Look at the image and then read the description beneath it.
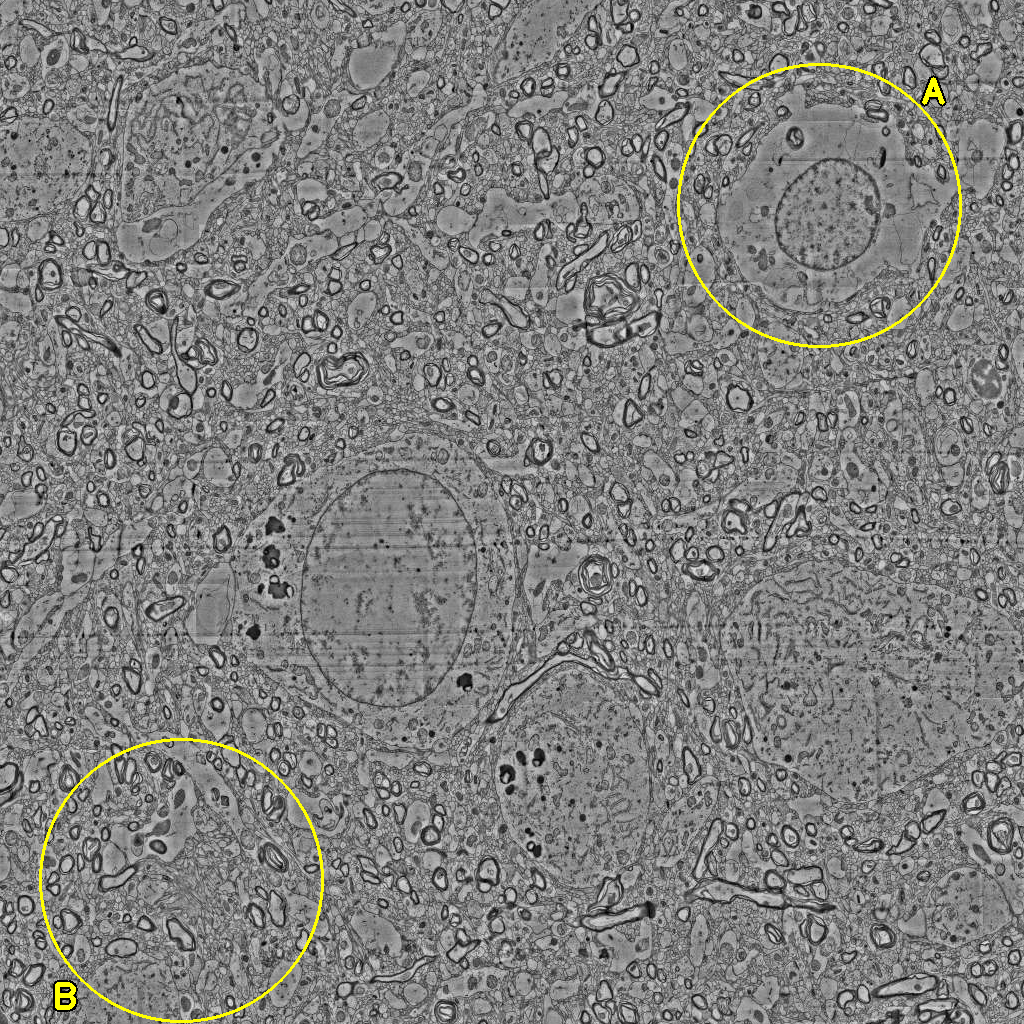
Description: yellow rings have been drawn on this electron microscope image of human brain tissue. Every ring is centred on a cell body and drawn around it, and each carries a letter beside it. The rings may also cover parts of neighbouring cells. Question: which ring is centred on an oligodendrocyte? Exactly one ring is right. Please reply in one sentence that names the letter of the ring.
It is ring B.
